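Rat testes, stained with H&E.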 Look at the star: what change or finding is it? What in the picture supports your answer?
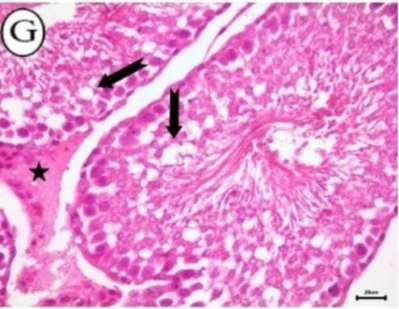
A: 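The space between tubules is filled with pale homogeneous pink material. A few scattered cells with single round nuclei lie within it. So: interstitial edema admixed with small numbers of mononuclear cells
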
